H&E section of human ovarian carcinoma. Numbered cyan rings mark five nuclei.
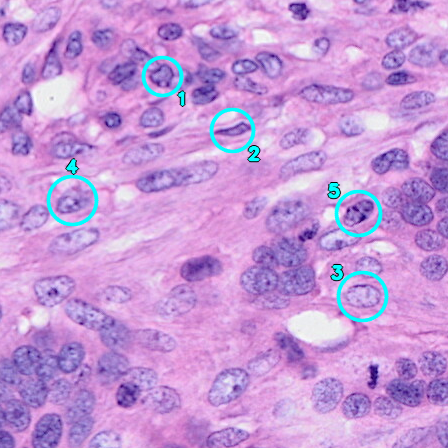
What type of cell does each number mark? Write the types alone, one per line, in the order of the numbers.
endothelial cell
fibroblast
fibroblast
fibroblast
macrophage or monocyte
